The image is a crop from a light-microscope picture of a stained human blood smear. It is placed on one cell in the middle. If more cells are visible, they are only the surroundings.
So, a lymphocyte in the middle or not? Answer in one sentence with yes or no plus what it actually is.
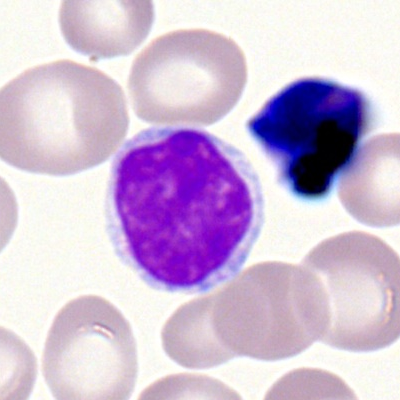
Yes, the cell in the middle of this smear crop is a lymphocyte.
